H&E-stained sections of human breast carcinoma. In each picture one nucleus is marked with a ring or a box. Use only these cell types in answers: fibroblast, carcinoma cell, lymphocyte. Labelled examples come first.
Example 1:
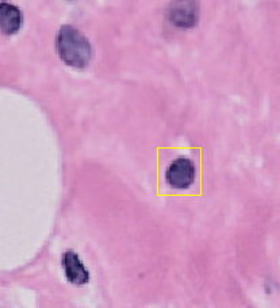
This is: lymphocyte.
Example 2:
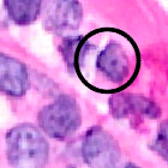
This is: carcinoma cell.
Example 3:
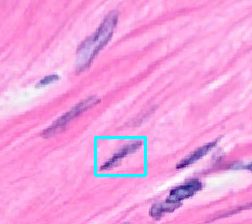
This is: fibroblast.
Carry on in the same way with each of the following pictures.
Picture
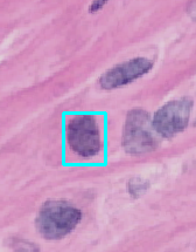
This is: carcinoma cell.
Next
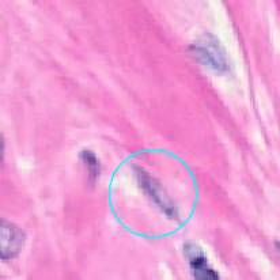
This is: fibroblast.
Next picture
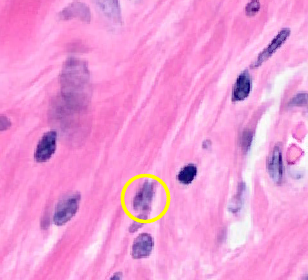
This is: lymphocyte.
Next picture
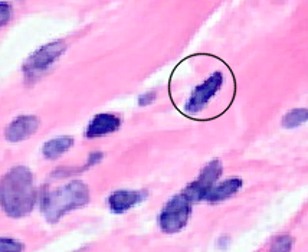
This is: lymphocyte.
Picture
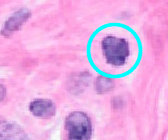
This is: lymphocyte.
